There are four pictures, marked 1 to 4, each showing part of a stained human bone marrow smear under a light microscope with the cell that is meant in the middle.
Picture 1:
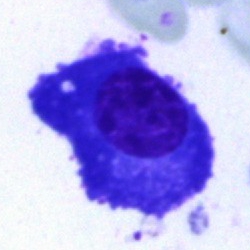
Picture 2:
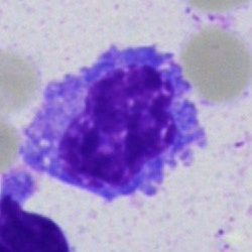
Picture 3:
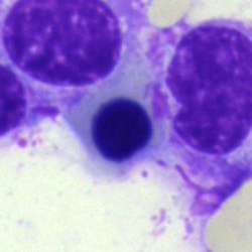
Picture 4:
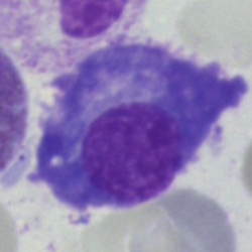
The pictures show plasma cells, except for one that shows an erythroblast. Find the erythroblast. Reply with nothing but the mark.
3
